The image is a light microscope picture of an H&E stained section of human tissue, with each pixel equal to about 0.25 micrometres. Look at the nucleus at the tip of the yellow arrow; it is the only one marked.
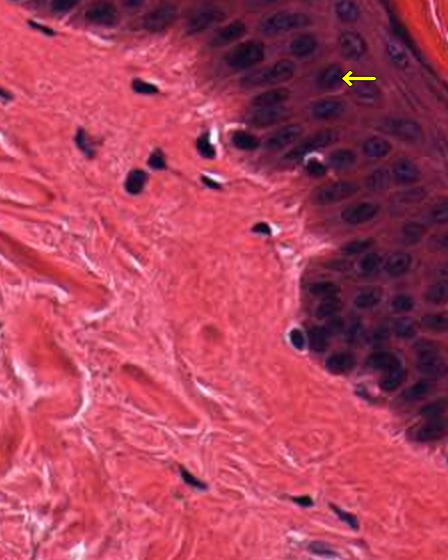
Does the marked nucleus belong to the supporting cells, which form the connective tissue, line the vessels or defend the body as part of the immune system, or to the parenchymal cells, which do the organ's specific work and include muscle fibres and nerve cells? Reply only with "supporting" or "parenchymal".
parenchymal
